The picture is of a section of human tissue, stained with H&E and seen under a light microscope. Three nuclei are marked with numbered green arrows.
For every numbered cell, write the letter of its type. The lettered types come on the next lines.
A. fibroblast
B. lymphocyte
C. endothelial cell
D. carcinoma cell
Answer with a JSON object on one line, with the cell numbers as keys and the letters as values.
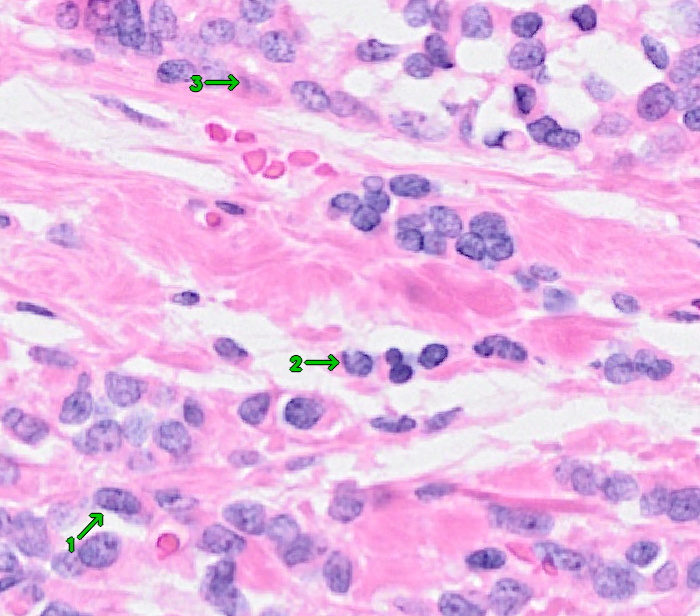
{"1": "D", "2": "D", "3": "C"}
